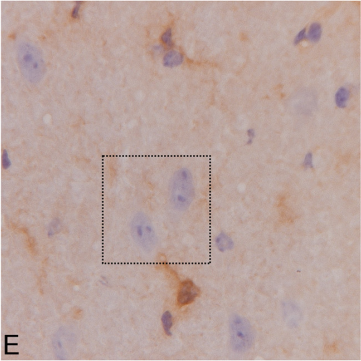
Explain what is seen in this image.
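This section of nervous tissue holds large neurons and smaller glial cells. The neurons have large, pale, round to oval nuclei with distinct nucleoli and carry no brown rim. Small cells with dark, elongated nuclei are stained brown on their bodies and on thin processes running into the surrounding tissue. The background neuropil has a faint, diffuse brown tint.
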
